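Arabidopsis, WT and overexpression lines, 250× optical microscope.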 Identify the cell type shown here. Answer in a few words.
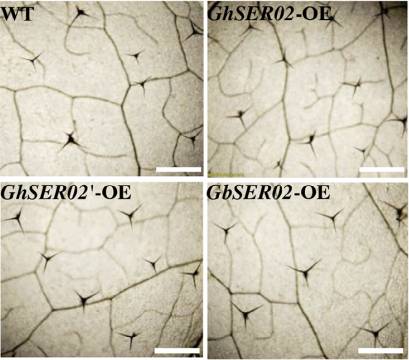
Leaf trichome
